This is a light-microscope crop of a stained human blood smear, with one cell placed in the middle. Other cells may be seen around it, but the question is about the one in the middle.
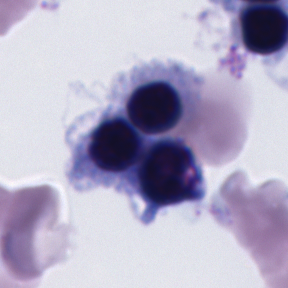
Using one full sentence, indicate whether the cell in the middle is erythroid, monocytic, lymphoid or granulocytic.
The cell at the center is recorded as erythroid in lineage.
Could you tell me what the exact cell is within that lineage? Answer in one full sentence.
Centred in the crop is a normoblast.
